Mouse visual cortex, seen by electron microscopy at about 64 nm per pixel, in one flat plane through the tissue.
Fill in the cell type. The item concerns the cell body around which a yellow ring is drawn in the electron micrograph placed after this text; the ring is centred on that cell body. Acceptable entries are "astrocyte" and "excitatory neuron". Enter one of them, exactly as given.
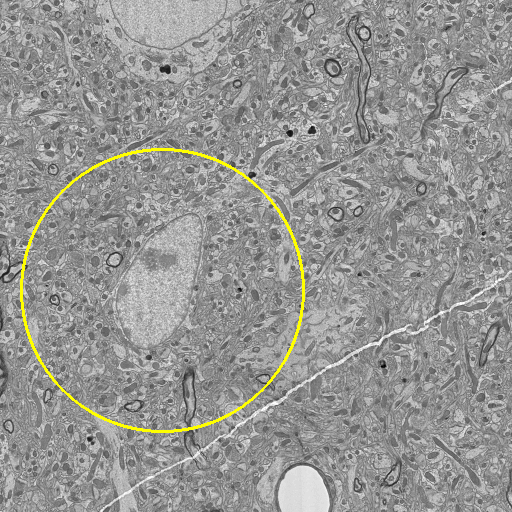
astrocyte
